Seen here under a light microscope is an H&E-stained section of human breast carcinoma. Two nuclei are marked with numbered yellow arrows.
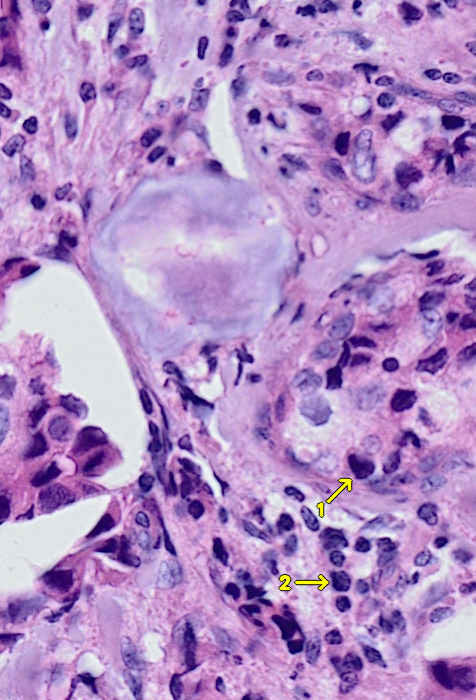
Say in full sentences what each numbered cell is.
Cell 1 is a carcinoma cell and cell 2 is a lymphocyte.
